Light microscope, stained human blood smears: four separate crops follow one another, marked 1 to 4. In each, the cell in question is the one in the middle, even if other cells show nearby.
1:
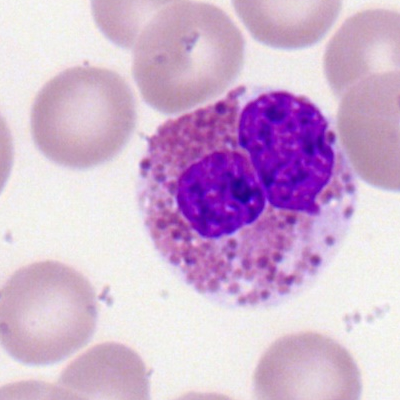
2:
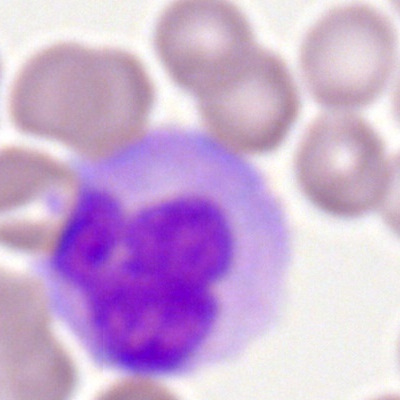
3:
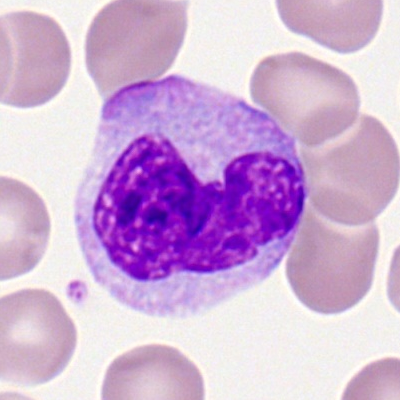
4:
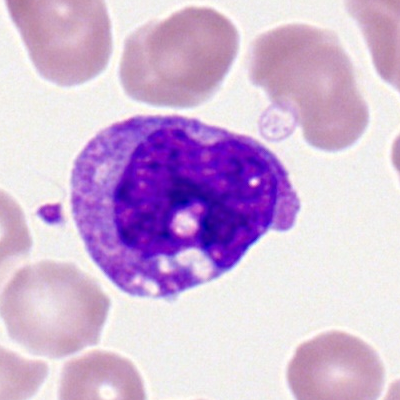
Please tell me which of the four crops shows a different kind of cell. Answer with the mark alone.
1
